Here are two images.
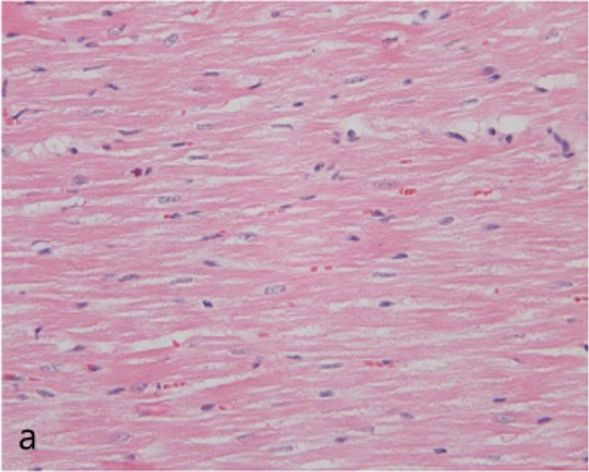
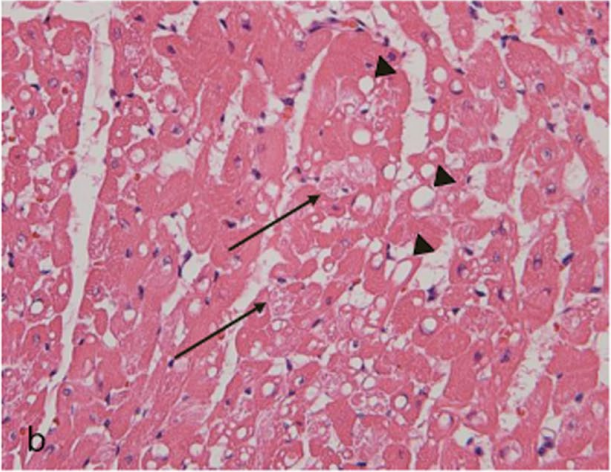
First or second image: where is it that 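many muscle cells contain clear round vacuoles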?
the second image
